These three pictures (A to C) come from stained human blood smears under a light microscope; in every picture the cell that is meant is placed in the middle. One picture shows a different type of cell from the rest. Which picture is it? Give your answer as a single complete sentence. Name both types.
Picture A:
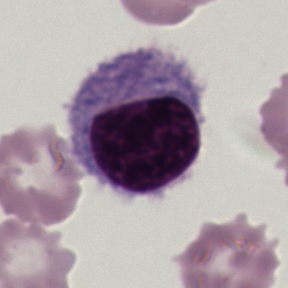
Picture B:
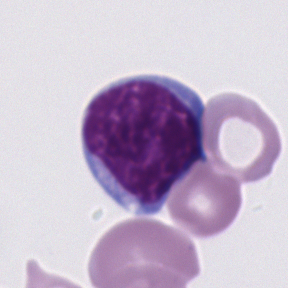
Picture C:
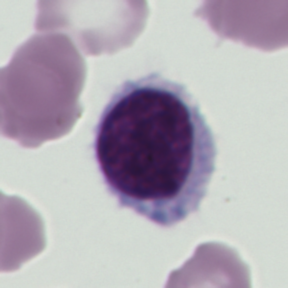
Picture B is the odd one out: it shows a typical lymphocyte, while the others show hairy cells.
